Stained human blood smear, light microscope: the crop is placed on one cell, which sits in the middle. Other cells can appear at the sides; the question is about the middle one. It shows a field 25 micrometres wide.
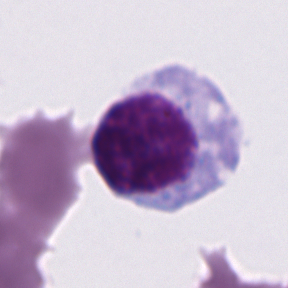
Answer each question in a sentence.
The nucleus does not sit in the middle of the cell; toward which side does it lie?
The nucleus sits off-centre, toward the left.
